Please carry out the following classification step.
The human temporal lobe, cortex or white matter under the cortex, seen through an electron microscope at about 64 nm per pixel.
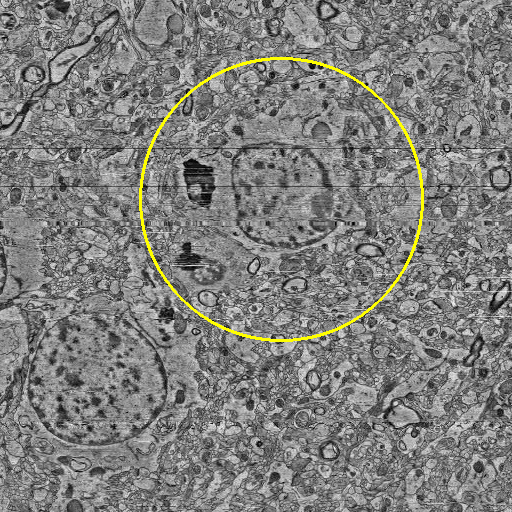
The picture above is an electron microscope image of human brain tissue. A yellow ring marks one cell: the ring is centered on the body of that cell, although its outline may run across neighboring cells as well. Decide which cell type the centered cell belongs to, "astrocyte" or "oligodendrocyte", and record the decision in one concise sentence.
The cell centered in the yellow ring is an astrocyte.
